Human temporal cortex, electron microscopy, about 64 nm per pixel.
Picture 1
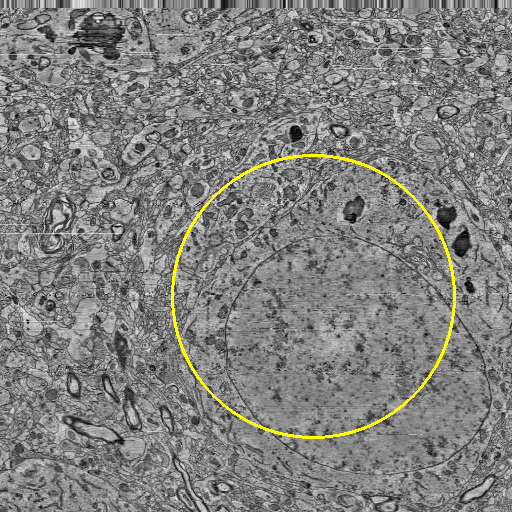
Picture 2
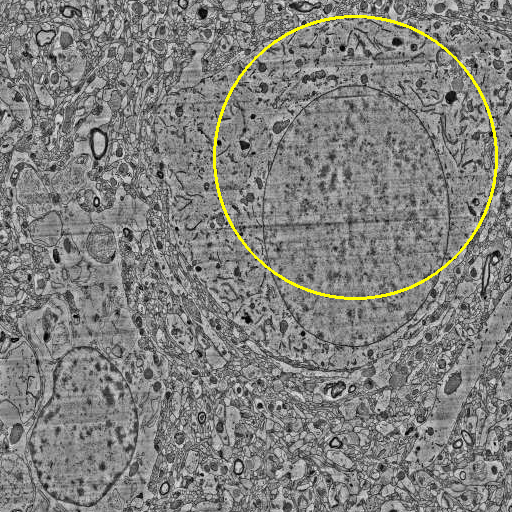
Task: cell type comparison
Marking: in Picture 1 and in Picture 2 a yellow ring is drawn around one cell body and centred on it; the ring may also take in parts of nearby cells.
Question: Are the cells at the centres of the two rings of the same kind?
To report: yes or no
yes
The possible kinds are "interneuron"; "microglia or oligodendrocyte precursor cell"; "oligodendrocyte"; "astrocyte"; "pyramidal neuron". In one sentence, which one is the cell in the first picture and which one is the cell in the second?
The cell at the ring centre is a pyramidal neuron in both pictures.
